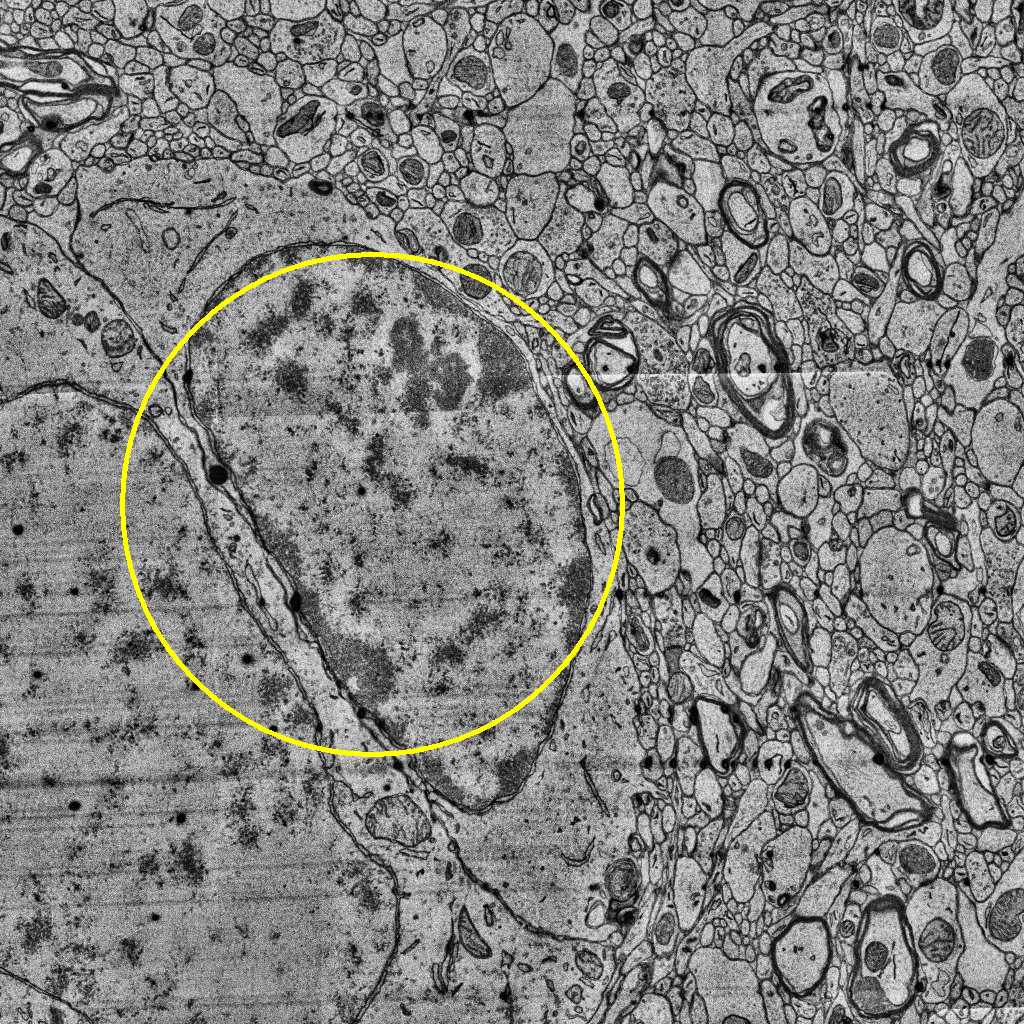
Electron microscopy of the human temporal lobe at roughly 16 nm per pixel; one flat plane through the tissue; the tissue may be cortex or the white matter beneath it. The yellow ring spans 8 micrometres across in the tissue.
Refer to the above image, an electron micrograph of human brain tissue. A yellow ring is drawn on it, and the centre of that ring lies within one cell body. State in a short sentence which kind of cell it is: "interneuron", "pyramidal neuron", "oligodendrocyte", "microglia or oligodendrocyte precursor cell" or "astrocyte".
The centre of the ring falls on a microglial cell or oligodendrocyte precursor cell.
